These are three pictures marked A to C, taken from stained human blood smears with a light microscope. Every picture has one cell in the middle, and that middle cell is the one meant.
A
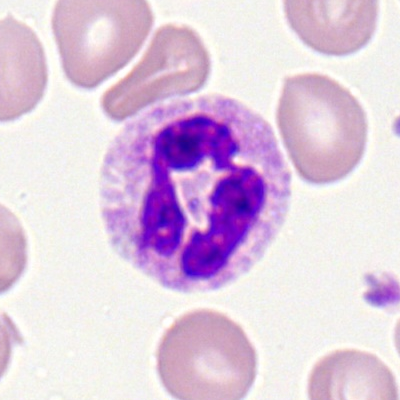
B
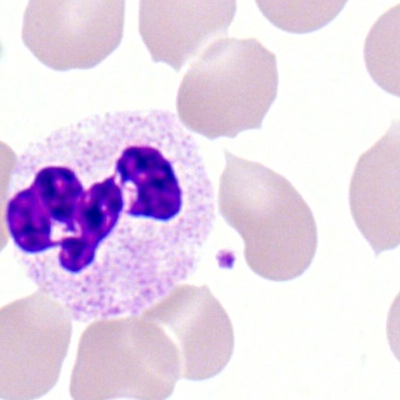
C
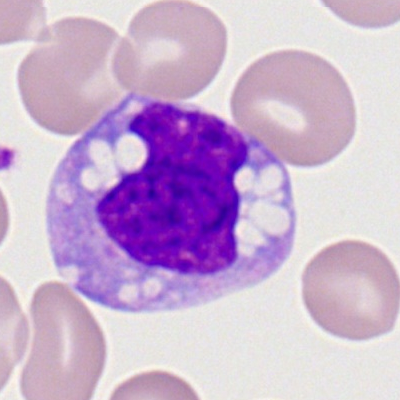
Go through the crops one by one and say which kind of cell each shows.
A: segmented neutrophil
B: segmented neutrophil
C: monocyte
